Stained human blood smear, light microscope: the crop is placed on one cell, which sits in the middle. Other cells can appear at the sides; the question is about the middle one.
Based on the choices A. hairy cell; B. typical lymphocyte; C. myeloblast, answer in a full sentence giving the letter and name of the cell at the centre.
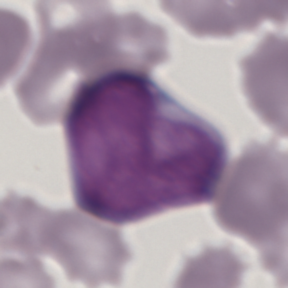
Option C correctly names the cell in the middle as a myeloblast.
